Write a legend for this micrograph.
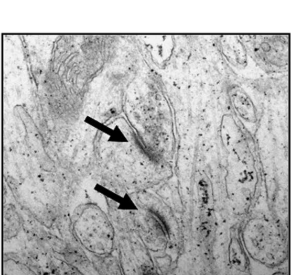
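This electron micrograph shows neuropil: closely packed membrane-bound profiles of neuronal processes cut in various planes. Synapses can be recognised where two profiles meet along a short stretch of membrane that is thickened by a dark, electron-dense band on one side, the postsynaptic density. Between the profiles run thin pale gaps and membranes, and scattered small dark granules dot the background. The dense bands are short, slightly curved and stand out sharply against the pale cytoplasm around them.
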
